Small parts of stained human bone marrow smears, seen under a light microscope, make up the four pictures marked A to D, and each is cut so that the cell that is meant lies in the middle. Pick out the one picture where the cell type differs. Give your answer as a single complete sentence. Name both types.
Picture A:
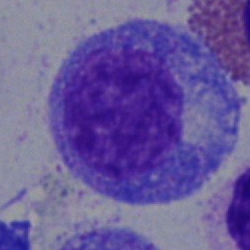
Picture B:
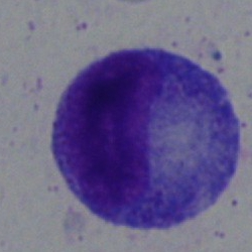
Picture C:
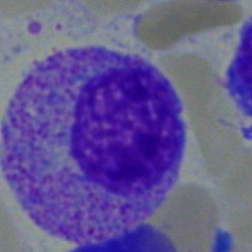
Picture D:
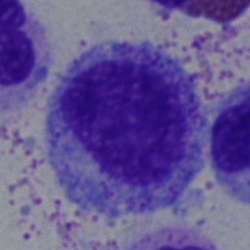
Picture C is the odd one out: it shows a myelocyte, while the others show promyelocytes.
